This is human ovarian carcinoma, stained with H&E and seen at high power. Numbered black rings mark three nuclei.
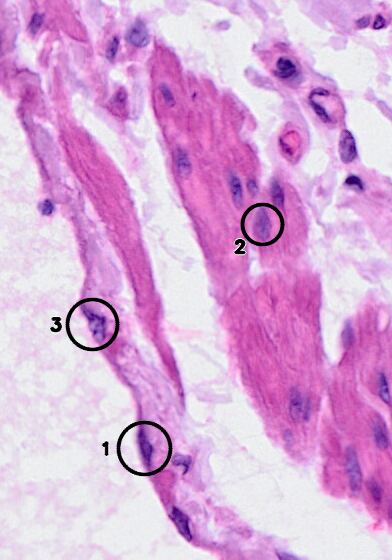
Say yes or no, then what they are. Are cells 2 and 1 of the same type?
No; cell 2 is a smooth muscle cell, whereas cell 1 is an endothelial cell.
